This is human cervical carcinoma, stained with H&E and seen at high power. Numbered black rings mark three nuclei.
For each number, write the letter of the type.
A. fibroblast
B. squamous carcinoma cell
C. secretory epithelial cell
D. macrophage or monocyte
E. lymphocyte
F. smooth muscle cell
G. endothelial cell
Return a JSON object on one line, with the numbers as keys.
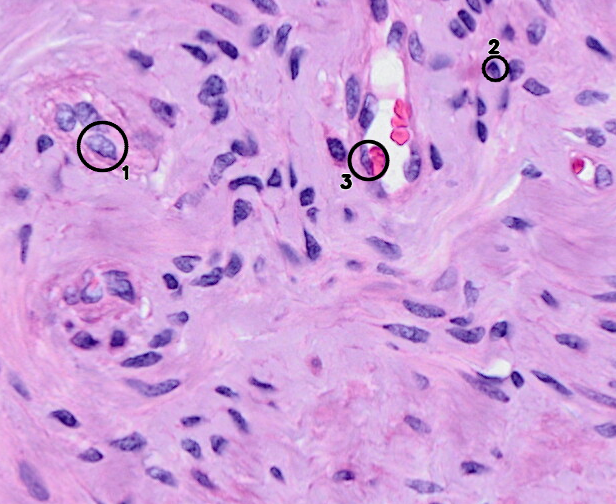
{"1": "G", "2": "A", "3": "G"}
